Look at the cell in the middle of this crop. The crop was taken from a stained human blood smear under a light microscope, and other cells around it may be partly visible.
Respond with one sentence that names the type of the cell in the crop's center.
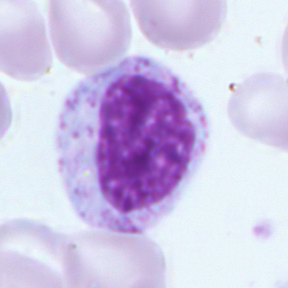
The crop shows a metamyelocyte in its centre.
